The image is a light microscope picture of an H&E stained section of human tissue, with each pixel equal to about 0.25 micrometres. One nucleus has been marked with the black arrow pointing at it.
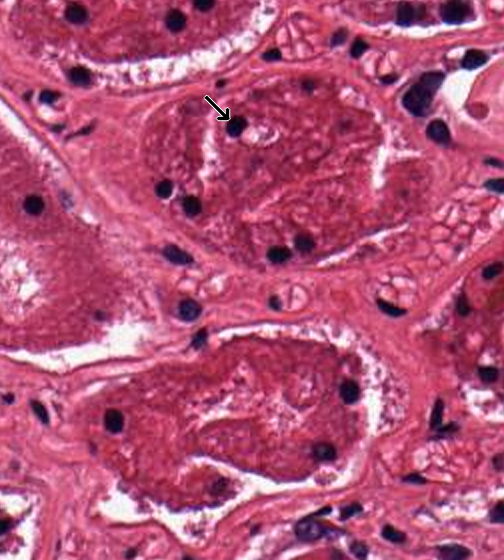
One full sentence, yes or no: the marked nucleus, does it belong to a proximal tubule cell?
Yes, a proximal tubule cell is what the marked nucleus belongs to.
